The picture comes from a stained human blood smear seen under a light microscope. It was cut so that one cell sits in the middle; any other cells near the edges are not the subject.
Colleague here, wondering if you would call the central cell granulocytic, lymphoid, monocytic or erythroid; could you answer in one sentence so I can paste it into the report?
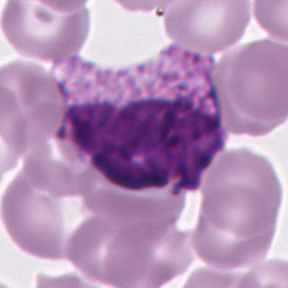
Our central cell here is part of the granulocytic lineage.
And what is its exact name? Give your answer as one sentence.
As for the central cell, it is a basophil.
